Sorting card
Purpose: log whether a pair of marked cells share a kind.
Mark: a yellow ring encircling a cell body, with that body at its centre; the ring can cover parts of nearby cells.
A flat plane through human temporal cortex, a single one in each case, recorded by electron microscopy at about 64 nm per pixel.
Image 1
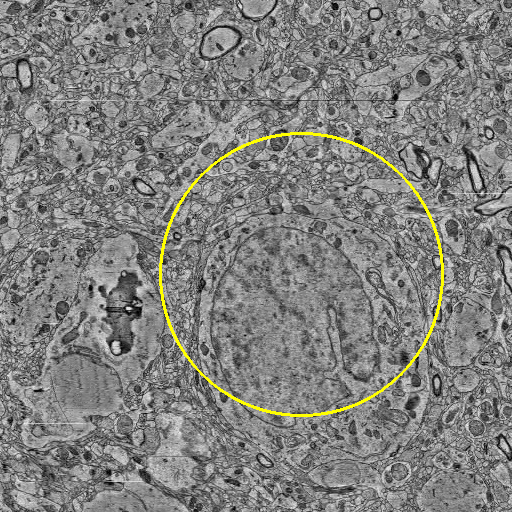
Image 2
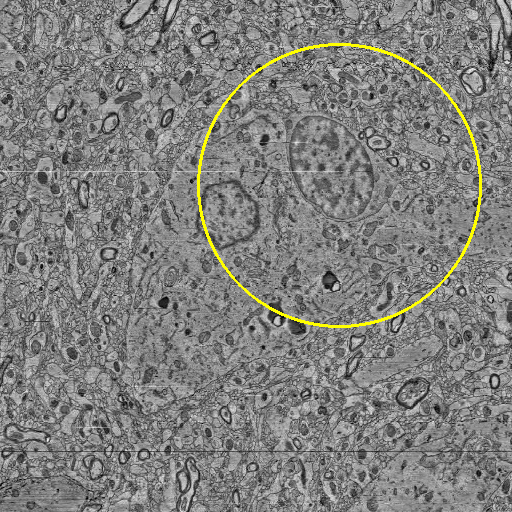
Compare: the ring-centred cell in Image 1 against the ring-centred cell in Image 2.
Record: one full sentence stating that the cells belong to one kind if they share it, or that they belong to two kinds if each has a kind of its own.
Across Images 1 and 2, the two ring-centred cells belong to two kinds.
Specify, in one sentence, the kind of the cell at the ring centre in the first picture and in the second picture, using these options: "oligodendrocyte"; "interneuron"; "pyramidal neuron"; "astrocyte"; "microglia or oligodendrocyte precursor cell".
So the first is an interneuron, the second an oligodendrocyte.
